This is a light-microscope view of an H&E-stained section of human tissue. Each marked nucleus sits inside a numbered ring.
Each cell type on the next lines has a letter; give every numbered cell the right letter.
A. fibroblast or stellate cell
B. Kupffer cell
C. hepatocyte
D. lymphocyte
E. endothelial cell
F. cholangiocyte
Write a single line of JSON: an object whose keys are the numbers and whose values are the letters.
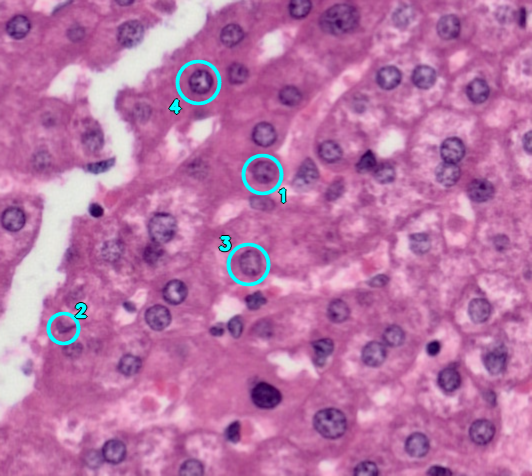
{"1": "C", "2": "A", "3": "C", "4": "C"}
